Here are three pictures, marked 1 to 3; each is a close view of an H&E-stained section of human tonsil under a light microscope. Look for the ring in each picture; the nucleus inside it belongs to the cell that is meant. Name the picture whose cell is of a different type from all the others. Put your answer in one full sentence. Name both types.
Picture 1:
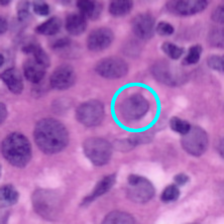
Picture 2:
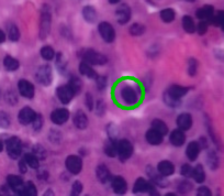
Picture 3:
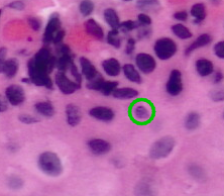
The others show squamous epithelial cells, but picture 2 shows a plasma cell.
